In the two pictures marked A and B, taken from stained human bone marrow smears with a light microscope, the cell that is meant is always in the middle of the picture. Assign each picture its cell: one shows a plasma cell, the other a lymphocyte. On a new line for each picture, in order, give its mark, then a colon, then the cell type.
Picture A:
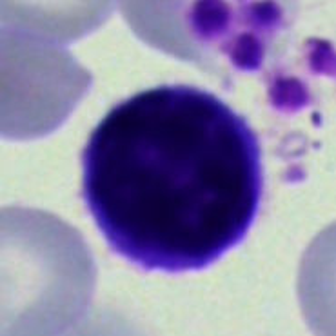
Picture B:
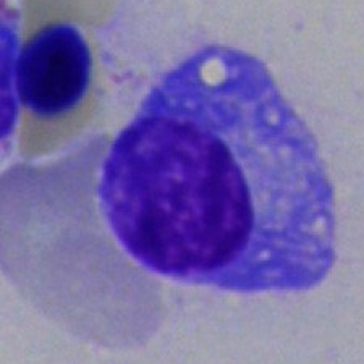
A: lymphocyte
B: plasma cell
